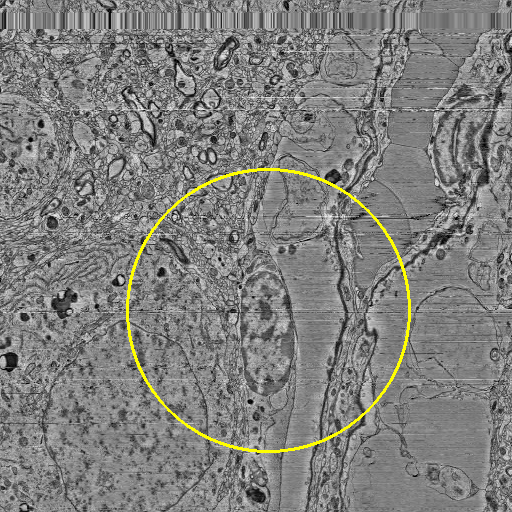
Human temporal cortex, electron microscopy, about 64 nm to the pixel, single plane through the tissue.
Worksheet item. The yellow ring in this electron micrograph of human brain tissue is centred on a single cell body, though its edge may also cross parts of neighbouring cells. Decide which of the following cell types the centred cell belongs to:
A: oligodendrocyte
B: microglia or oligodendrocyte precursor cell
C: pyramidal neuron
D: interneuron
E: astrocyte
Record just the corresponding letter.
B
